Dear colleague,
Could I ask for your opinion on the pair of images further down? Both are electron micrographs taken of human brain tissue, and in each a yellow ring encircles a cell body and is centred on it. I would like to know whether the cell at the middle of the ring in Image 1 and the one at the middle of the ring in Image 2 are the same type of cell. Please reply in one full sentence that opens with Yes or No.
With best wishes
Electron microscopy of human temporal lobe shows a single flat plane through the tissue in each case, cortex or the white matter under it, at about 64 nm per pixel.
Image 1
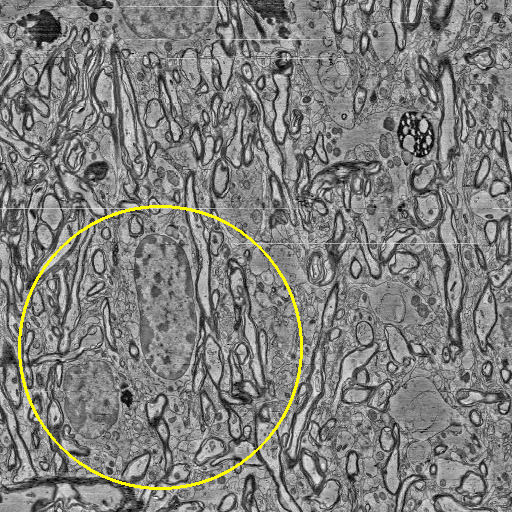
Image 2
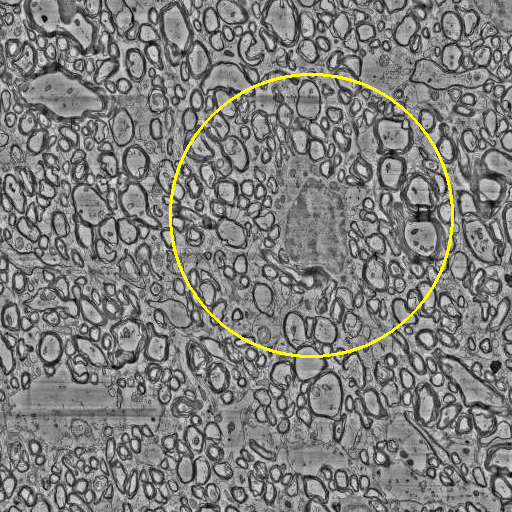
No, the cells at the ring centres in Image 1 and Image 2 are of two types.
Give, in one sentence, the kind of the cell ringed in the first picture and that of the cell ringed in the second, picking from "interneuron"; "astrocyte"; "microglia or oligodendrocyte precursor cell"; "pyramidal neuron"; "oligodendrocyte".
For the first picture it is a microglial cell or oligodendrocyte precursor cell; for the second, an oligodendrocyte.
